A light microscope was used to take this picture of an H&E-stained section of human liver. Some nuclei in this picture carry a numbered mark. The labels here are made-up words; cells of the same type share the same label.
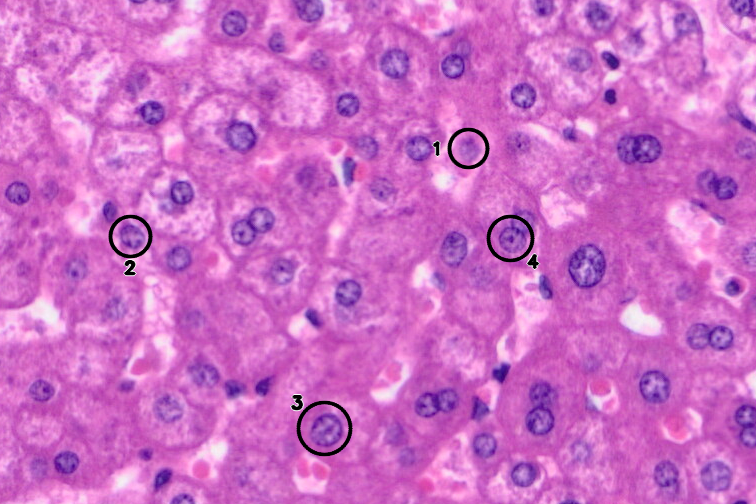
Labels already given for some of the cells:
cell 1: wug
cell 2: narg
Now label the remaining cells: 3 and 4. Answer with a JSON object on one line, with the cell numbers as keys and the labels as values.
{"3": "narg", "4": "narg"}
